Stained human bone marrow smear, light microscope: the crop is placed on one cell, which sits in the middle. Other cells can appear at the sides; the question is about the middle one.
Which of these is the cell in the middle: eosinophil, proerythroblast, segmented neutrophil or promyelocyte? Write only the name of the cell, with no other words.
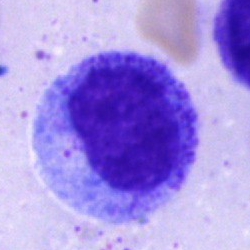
promyelocyte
